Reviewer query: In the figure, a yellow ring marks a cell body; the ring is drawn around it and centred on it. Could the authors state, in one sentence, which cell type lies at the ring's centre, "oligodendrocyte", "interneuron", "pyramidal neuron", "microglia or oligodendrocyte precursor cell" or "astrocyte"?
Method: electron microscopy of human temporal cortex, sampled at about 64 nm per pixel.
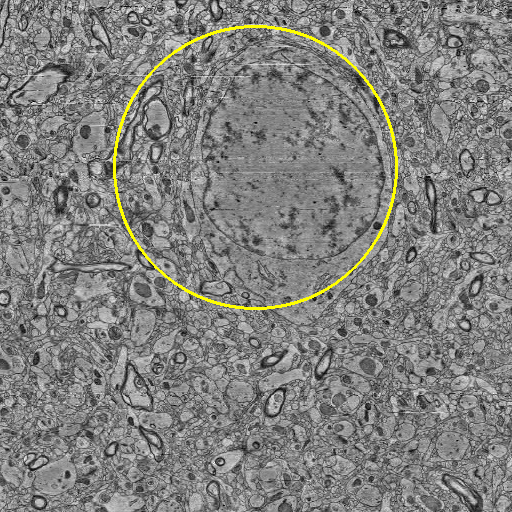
The ring is centred on a pyramidal neuron.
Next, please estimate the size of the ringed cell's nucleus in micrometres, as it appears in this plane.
In this plane, the nucleus is roughly 14 by 12 micrometres.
